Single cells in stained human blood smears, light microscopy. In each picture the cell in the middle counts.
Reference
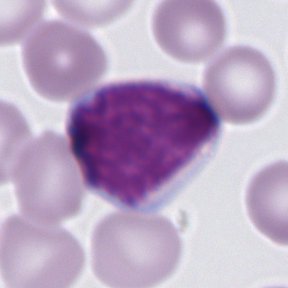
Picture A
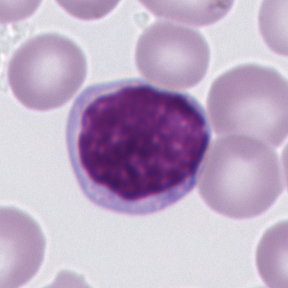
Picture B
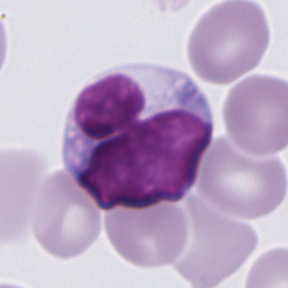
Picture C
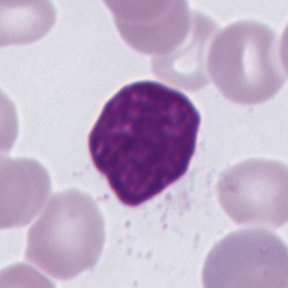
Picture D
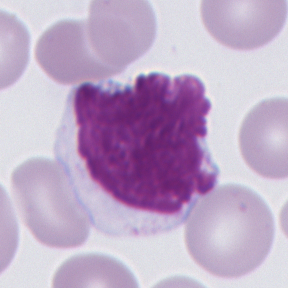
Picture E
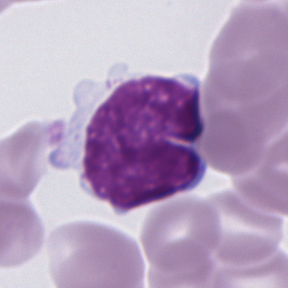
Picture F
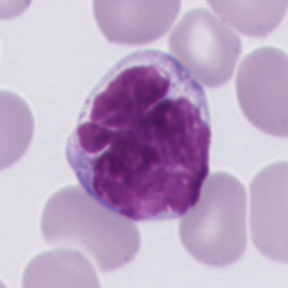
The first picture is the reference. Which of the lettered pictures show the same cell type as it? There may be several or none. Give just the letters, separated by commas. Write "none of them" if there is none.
A, B, E, F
